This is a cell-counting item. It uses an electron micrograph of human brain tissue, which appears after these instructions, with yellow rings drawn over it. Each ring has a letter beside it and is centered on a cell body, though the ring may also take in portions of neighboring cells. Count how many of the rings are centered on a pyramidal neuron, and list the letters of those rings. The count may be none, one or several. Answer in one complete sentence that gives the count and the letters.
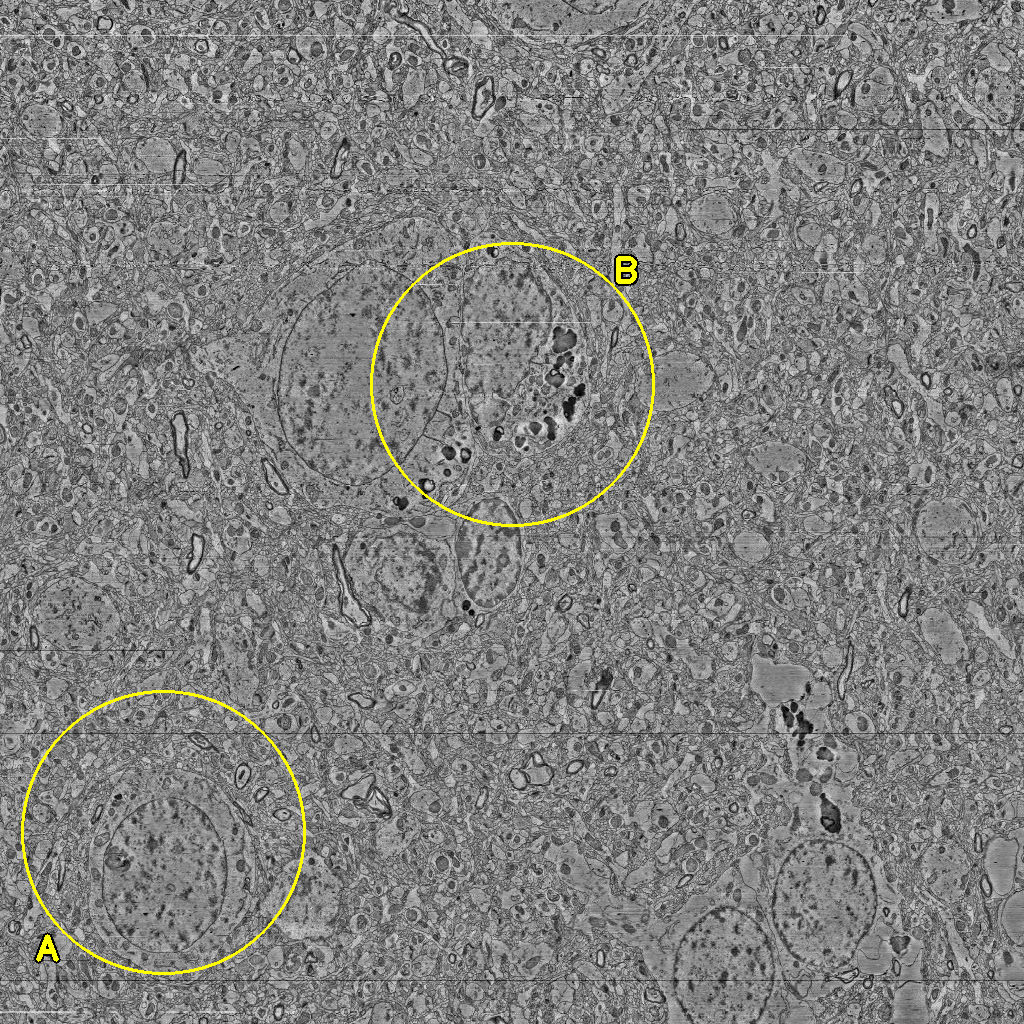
One ring, and only one, is centred on a pyramidal neuron, and it carries the letter A.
